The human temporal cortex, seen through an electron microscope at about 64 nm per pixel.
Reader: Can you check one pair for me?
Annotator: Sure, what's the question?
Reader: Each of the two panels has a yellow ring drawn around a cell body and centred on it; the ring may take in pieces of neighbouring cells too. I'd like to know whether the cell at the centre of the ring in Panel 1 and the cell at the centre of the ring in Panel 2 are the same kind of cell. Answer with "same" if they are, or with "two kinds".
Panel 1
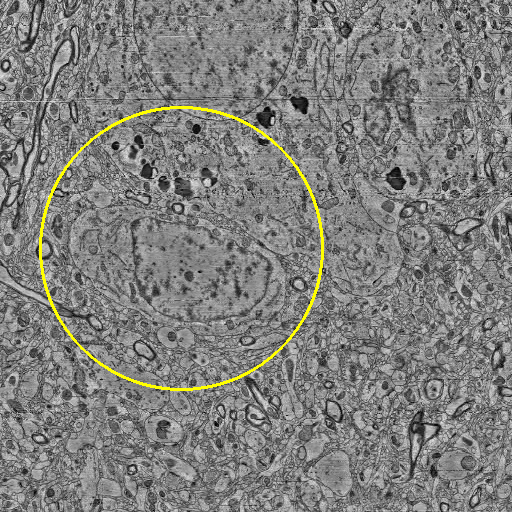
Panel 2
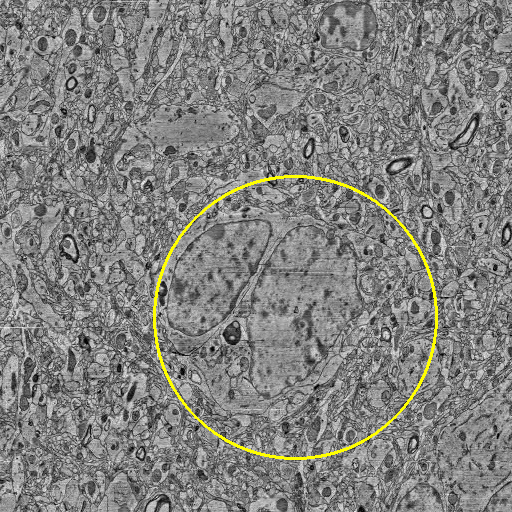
same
